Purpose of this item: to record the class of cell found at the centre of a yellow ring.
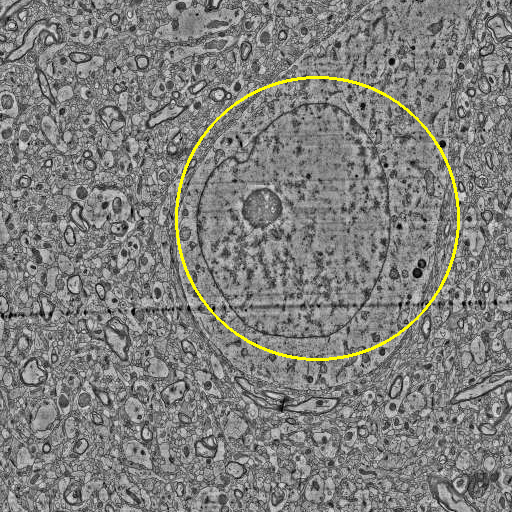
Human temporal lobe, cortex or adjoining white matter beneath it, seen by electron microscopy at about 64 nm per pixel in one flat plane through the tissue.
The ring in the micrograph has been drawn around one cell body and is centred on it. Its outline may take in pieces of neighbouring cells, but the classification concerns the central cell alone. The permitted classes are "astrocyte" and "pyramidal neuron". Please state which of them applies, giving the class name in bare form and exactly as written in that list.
pyramidal neuron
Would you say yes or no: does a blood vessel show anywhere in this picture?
No, none is visible.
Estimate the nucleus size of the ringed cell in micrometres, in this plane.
Approximately 15 micrometres long and 12 micrometres wide, in this plane.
